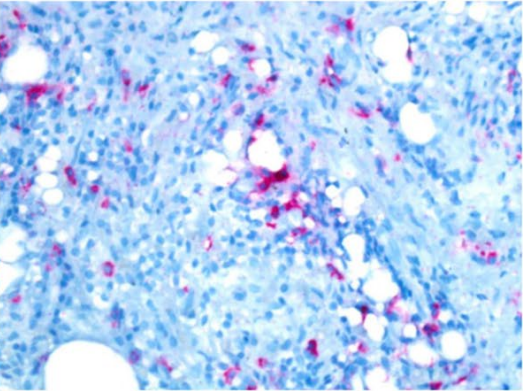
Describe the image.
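A densely cellular tissue with many small blue oval and spindle-shaped nuclei is interspersed with round clear spaces of varying size. Scattered through it are numerous single cells whose cytoplasm is stained red-magenta around a blue nucleus. These stained cells lie singly and in small clusters, especially around the clear spaces in the middle of the field.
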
